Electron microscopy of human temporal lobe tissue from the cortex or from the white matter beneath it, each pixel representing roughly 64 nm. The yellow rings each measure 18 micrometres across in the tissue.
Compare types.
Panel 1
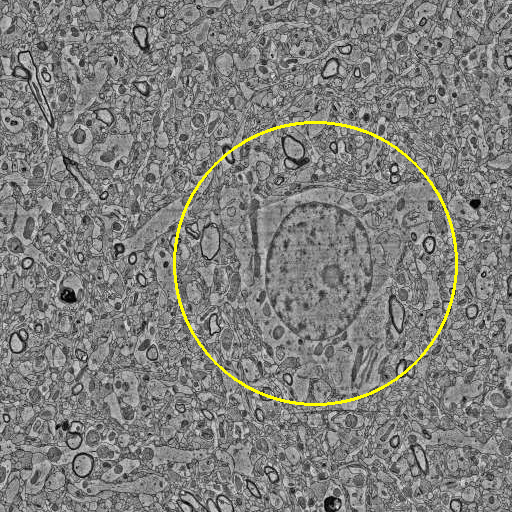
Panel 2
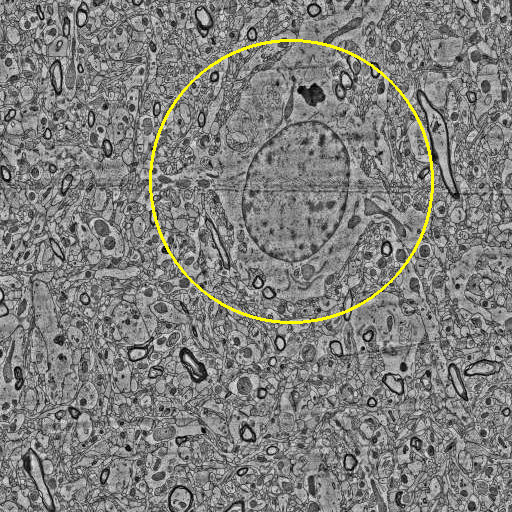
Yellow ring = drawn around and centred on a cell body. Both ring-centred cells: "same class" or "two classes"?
same class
